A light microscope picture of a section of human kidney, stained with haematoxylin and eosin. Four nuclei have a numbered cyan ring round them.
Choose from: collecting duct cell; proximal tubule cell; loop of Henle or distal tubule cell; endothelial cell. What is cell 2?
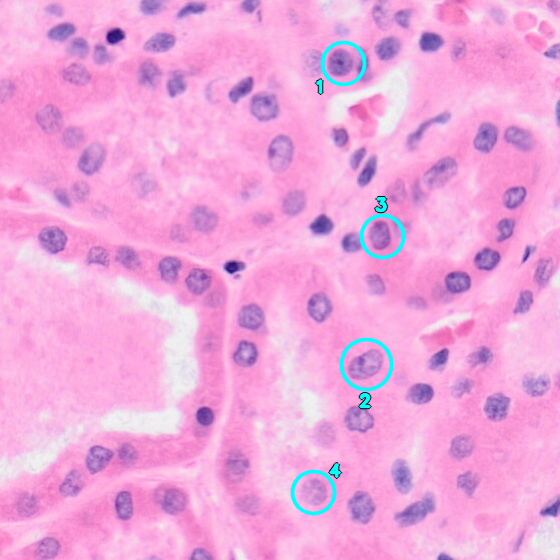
proximal tubule cell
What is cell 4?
proximal tubule cell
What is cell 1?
collecting duct cell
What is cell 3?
proximal tubule cell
